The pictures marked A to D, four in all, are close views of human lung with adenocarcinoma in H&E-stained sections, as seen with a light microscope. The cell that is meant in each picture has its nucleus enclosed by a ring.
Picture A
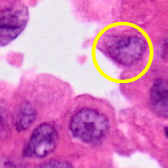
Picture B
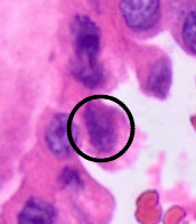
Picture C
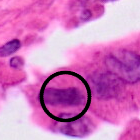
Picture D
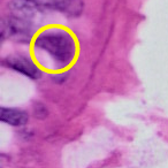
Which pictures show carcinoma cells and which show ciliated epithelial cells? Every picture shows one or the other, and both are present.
A: carcinoma cell
B: carcinoma cell
C: carcinoma cell
D: ciliated epithelial cell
